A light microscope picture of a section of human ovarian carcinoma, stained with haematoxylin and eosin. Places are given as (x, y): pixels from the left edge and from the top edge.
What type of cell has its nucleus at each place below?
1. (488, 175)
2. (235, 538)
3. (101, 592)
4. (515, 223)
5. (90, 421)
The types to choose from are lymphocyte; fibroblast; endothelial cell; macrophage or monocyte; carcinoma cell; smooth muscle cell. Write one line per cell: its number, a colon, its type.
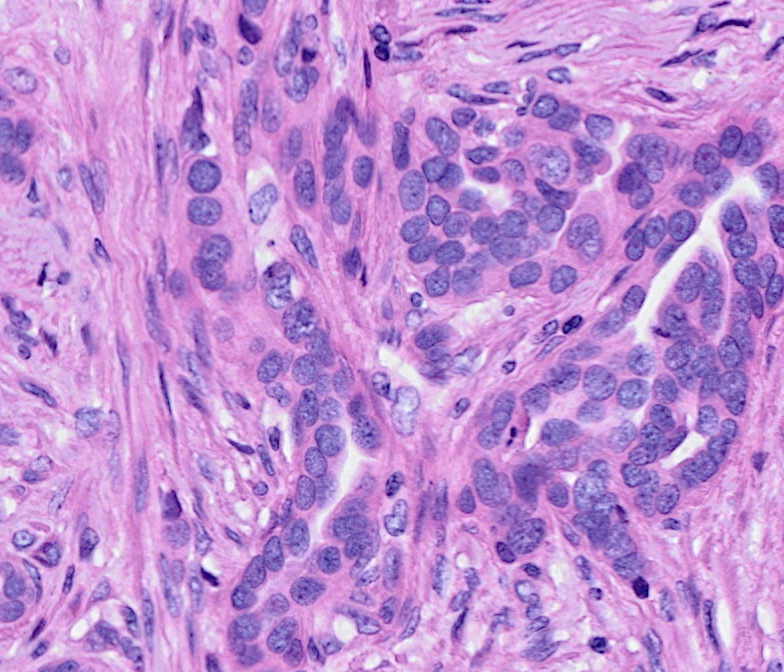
1: carcinoma cell
2: fibroblast
3: fibroblast
4: carcinoma cell
5: fibroblast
